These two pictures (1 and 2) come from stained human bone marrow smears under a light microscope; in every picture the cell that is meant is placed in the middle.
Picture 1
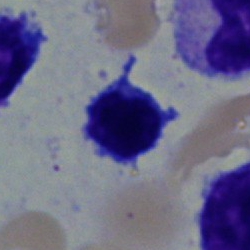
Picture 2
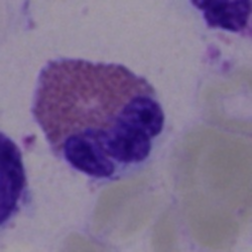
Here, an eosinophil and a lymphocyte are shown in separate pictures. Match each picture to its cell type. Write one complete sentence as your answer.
In picture 1 the cell is a lymphocyte; in picture 2, an eosinophil.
